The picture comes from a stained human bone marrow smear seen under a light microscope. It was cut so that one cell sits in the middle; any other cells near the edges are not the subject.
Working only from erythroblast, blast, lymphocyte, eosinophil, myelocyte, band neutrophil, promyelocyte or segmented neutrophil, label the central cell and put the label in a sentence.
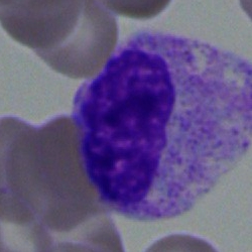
The cell positioned in the middle of the field is a myelocyte.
